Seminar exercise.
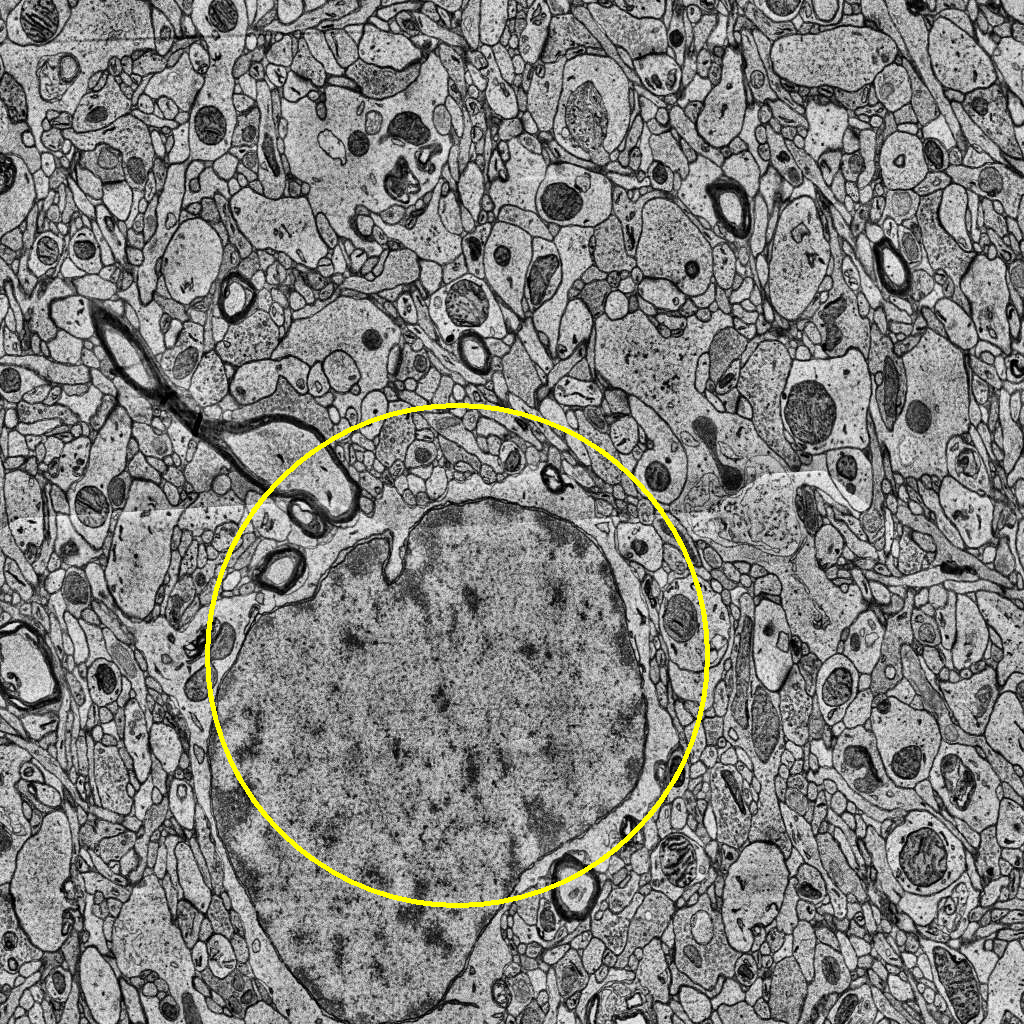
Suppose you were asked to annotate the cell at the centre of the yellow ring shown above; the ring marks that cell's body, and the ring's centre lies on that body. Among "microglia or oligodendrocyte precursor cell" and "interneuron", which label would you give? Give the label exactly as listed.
microglia or oligodendrocyte precursor cell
